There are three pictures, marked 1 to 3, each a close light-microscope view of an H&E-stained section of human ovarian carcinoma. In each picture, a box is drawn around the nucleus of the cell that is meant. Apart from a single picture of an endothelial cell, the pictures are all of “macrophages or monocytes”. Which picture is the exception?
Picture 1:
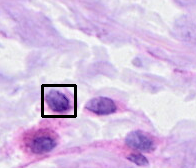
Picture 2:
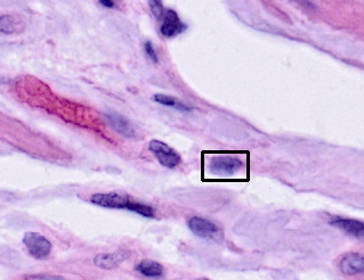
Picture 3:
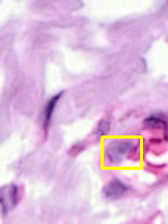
3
